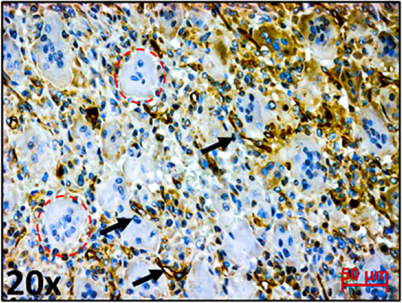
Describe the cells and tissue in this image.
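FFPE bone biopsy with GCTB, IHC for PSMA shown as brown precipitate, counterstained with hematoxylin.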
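The giant cells have broad pale, largely unstained cytoplasm holding clusters of several oval blue nuclei. Between them lie smaller cells with single oval blue nuclei. Brown stain outlines a network of slender elongated cells and processes running between the giant cells. The giant cells themselves carry little brown stain.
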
